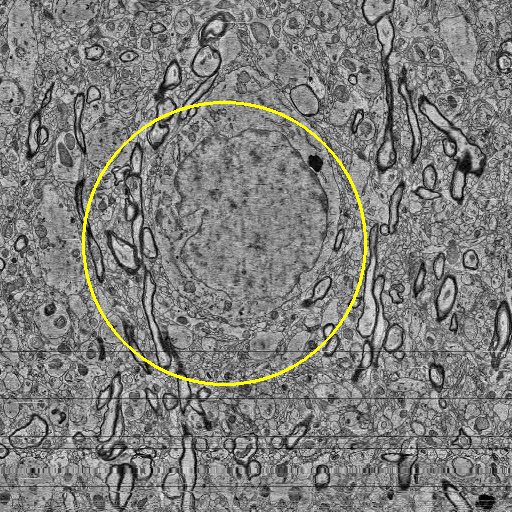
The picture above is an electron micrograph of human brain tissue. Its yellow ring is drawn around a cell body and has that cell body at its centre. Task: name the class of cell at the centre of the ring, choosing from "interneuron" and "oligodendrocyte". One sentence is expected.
The ring surrounds the body of an interneuron.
